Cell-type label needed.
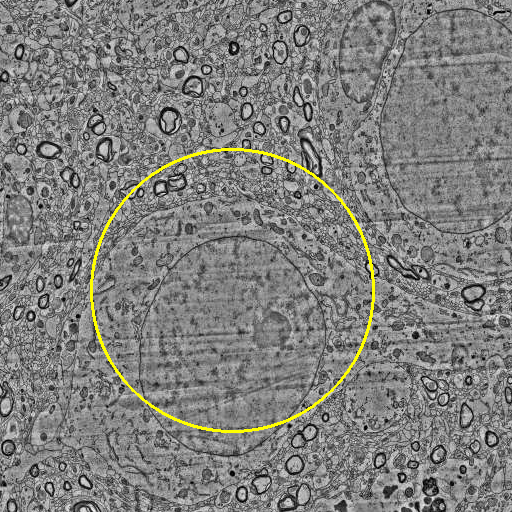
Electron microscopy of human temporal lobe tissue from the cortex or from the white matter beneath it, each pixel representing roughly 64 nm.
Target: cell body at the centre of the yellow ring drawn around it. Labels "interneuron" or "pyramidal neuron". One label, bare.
pyramidal neuron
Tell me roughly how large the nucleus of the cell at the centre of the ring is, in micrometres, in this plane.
Roughly 14 by 12 micrometres is the size of the nucleus in this plane.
